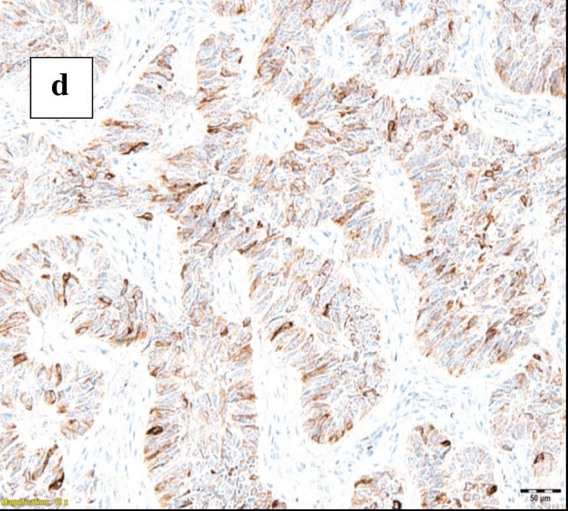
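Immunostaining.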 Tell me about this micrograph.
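Tumor cells are arranged in closely packed, irregular cords and trabeculae separated by narrow bands of stroma containing spindle cells with elongated blue nuclei. The tumor cells are elongated to columnar, with oval blue nuclei, and at the edges of the cords they tend to align perpendicular to the stroma. Light to moderate brown cytoplasmic stain is spread through most tumor cells, with stronger brown in scattered individual cells. The stromal spindle cells remain unstained and pale blue.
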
